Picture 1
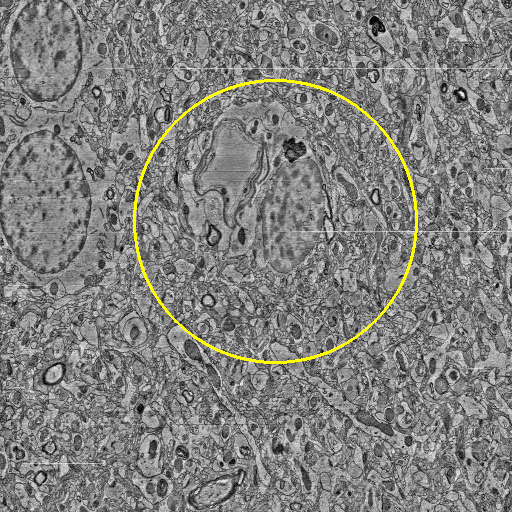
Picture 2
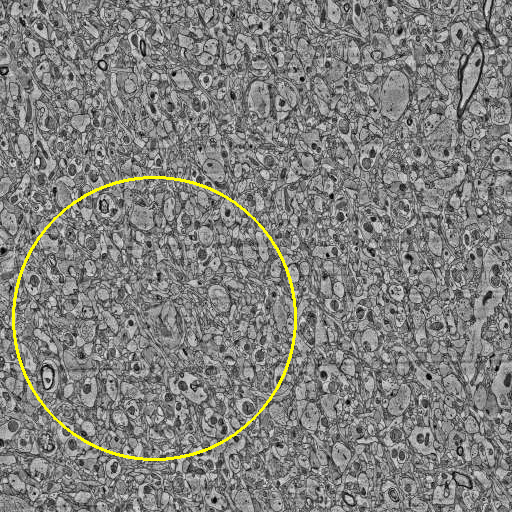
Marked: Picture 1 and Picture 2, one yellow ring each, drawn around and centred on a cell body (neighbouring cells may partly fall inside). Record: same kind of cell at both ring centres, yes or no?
yes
